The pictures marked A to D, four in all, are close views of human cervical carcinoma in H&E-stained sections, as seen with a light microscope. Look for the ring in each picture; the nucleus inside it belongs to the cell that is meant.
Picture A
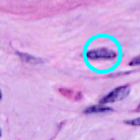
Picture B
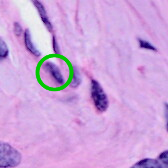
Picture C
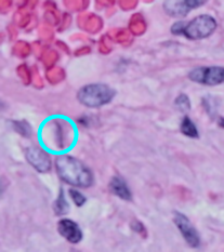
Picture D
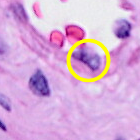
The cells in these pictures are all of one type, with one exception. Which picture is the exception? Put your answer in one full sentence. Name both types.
The different one is picture A; it shows a fibroblast, whereas all the others show endothelial cells.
